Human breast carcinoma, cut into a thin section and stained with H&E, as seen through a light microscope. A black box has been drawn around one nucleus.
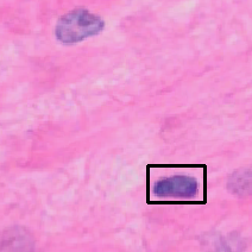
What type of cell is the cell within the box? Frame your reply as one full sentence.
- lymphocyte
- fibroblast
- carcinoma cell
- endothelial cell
The expected answer is simply that the cell within the box is a lymphocyte.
